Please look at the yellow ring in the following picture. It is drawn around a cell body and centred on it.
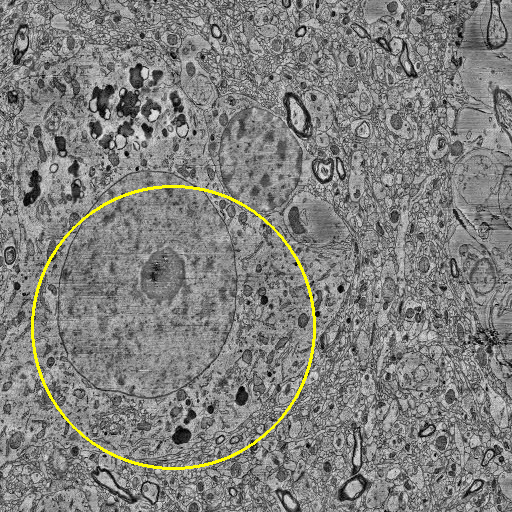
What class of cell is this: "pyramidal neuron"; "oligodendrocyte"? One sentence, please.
The ring surrounds the cell body of a pyramidal neuron.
